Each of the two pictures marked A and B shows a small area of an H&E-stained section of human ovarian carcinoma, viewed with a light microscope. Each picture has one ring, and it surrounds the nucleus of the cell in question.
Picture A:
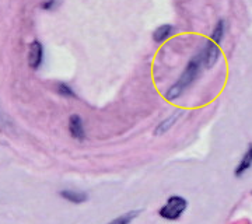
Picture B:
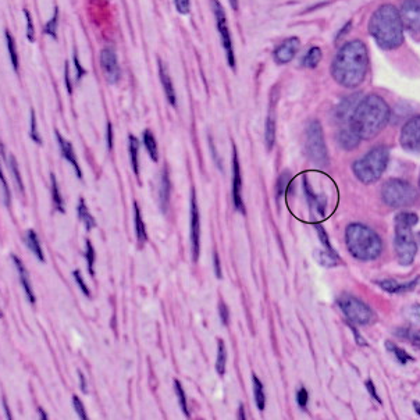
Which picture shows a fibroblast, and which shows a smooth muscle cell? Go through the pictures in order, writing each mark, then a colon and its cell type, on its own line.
A: smooth muscle cell
B: fibroblast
